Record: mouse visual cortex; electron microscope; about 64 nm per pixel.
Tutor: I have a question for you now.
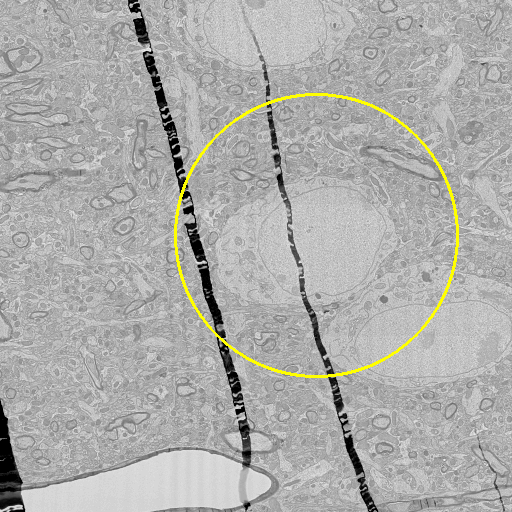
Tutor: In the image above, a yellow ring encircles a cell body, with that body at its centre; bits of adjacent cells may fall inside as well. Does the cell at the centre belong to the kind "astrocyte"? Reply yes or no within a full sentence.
No, the centred cell inside the ring belongs to another kind.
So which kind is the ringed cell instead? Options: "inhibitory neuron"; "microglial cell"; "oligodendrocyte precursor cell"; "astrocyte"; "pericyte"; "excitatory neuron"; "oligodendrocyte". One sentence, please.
So the cell at the centre is an excitatory neuron.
